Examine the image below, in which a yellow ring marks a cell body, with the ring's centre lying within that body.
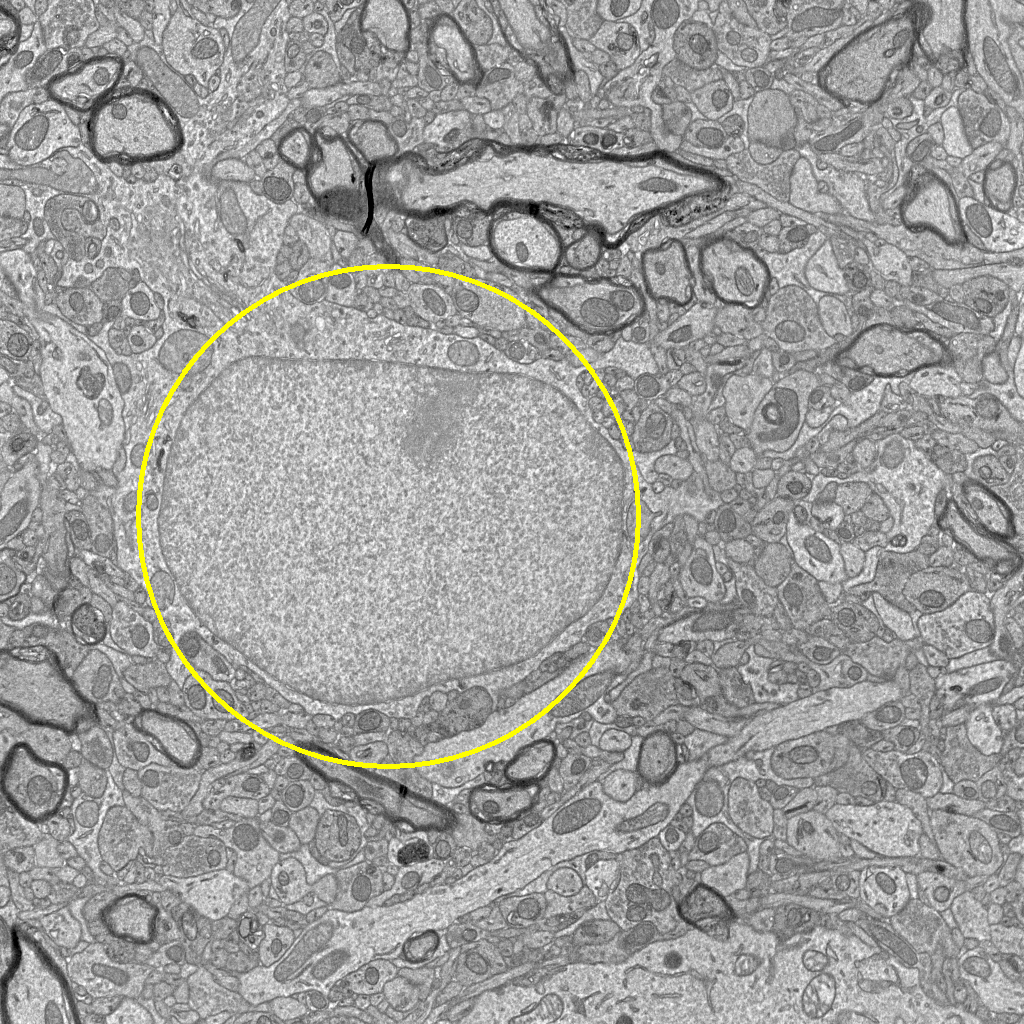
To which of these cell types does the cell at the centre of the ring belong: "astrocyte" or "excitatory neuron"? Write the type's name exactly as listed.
astrocyte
